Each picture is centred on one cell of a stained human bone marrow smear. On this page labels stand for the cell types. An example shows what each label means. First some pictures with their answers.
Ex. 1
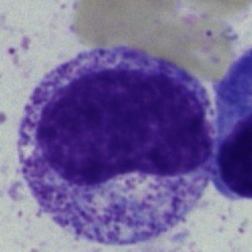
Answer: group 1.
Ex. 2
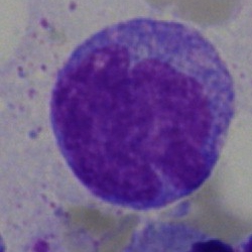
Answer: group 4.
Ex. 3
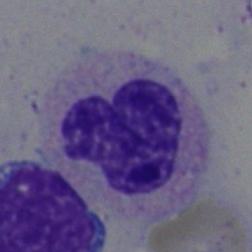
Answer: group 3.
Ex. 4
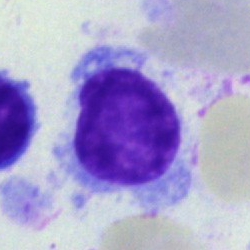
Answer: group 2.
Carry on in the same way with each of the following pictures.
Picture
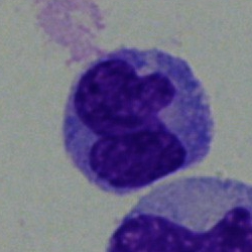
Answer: group 4.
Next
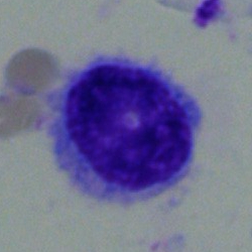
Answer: group 2.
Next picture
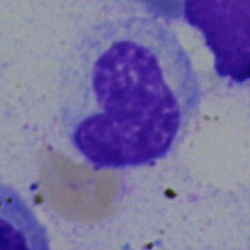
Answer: group 3.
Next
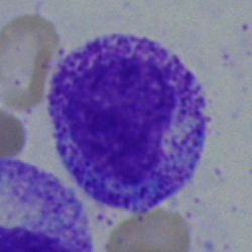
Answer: group 1.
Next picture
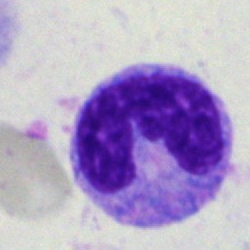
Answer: group 4.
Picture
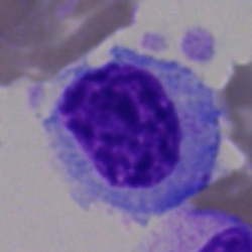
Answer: group 2.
